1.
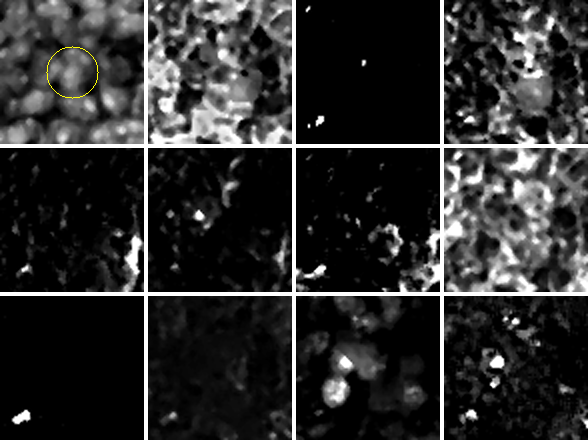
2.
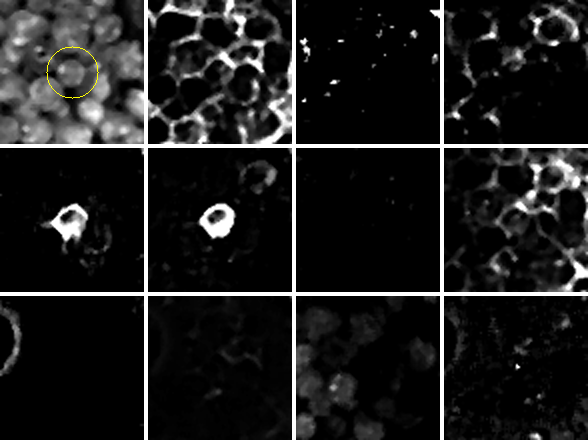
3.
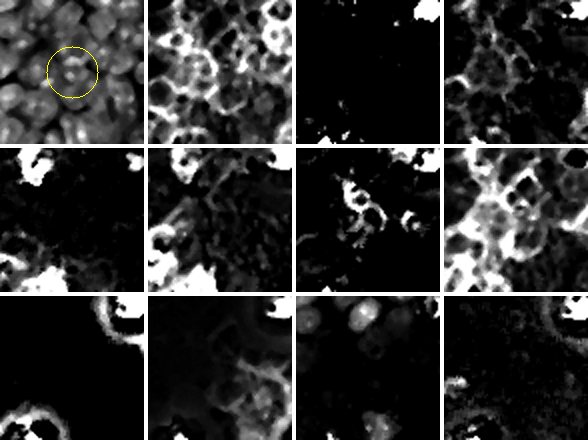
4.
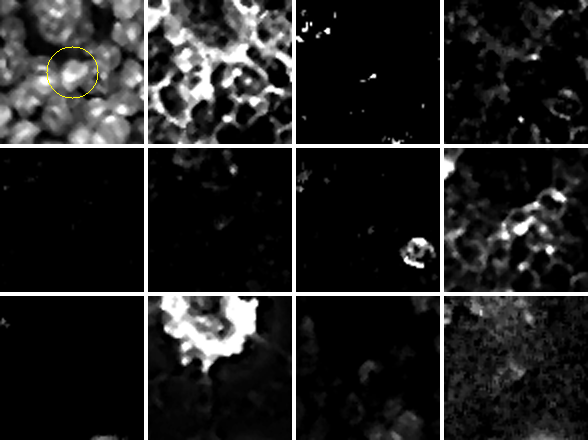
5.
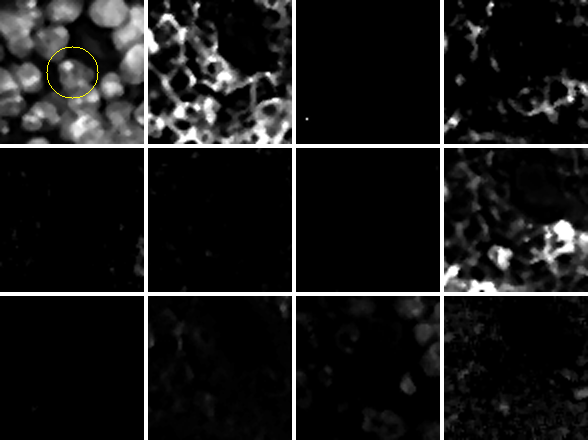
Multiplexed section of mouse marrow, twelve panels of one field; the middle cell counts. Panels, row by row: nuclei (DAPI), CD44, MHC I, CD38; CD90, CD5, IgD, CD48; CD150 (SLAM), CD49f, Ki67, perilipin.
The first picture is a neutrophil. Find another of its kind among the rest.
Picture 5.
